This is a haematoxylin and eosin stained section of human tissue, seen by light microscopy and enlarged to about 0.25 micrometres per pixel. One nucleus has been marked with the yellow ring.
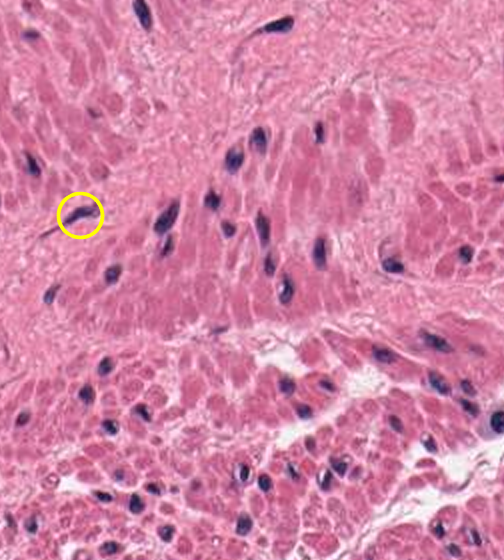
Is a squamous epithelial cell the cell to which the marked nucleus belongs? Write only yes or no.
no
